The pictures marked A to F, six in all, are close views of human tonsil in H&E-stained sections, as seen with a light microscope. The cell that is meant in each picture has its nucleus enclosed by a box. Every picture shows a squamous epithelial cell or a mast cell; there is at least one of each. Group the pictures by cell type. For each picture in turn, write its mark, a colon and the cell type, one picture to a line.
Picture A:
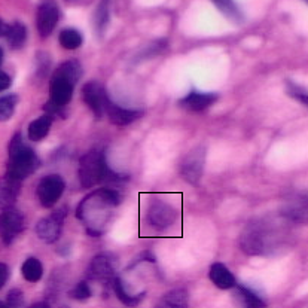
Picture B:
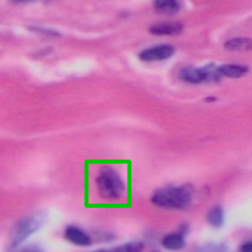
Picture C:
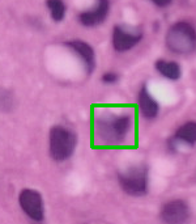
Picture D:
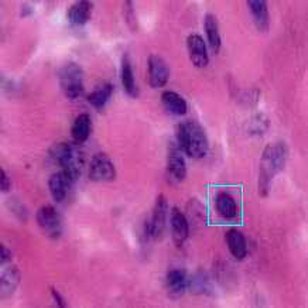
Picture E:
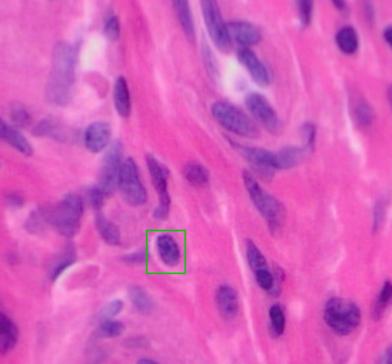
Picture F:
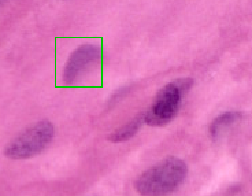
A: squamous epithelial cell
B: mast cell
C: squamous epithelial cell
D: mast cell
E: mast cell
F: squamous epithelial cell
